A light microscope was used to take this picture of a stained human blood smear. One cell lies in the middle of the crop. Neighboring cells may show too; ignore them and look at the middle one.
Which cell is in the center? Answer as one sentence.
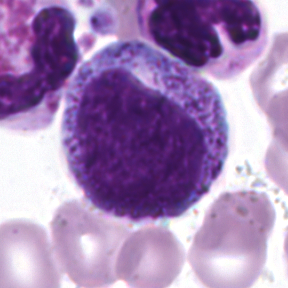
Regarding the central cell, it is a promyelocyte.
